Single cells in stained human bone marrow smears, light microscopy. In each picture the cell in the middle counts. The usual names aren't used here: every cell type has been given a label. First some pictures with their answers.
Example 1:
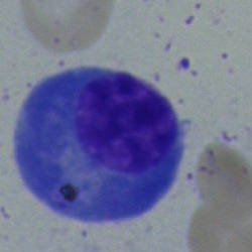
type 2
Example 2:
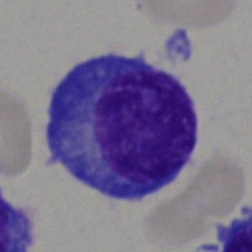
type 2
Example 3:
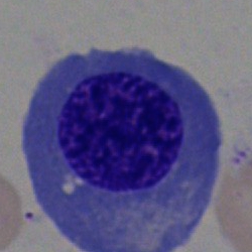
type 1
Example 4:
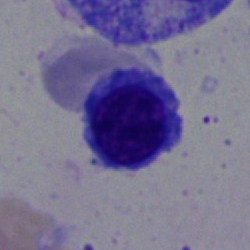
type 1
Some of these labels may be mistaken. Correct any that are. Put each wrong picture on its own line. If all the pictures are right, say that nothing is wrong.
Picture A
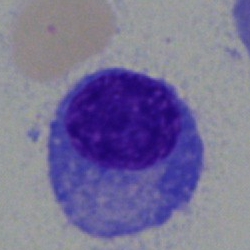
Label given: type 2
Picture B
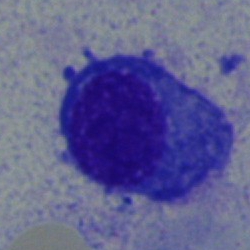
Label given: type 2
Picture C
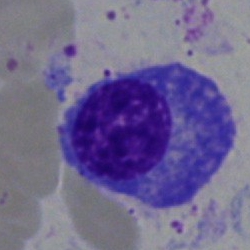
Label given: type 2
None of the labels needs changing.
